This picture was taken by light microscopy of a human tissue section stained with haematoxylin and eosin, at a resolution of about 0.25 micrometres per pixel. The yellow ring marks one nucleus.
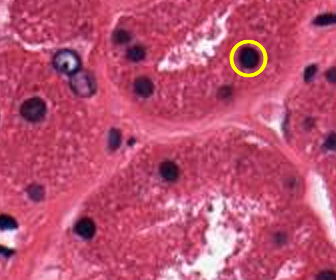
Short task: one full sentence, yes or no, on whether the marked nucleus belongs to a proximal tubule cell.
Yes, belonging to a proximal tubule cell is the marked nucleus.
